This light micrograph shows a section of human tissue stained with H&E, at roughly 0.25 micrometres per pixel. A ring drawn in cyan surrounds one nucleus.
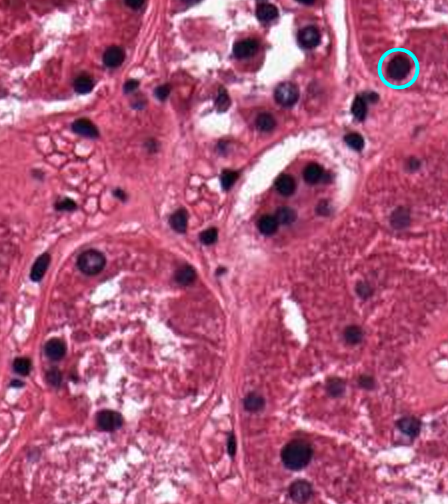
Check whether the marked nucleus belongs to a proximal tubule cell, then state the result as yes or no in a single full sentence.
Yes, the cell that holds the marked nucleus is a proximal tubule cell.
